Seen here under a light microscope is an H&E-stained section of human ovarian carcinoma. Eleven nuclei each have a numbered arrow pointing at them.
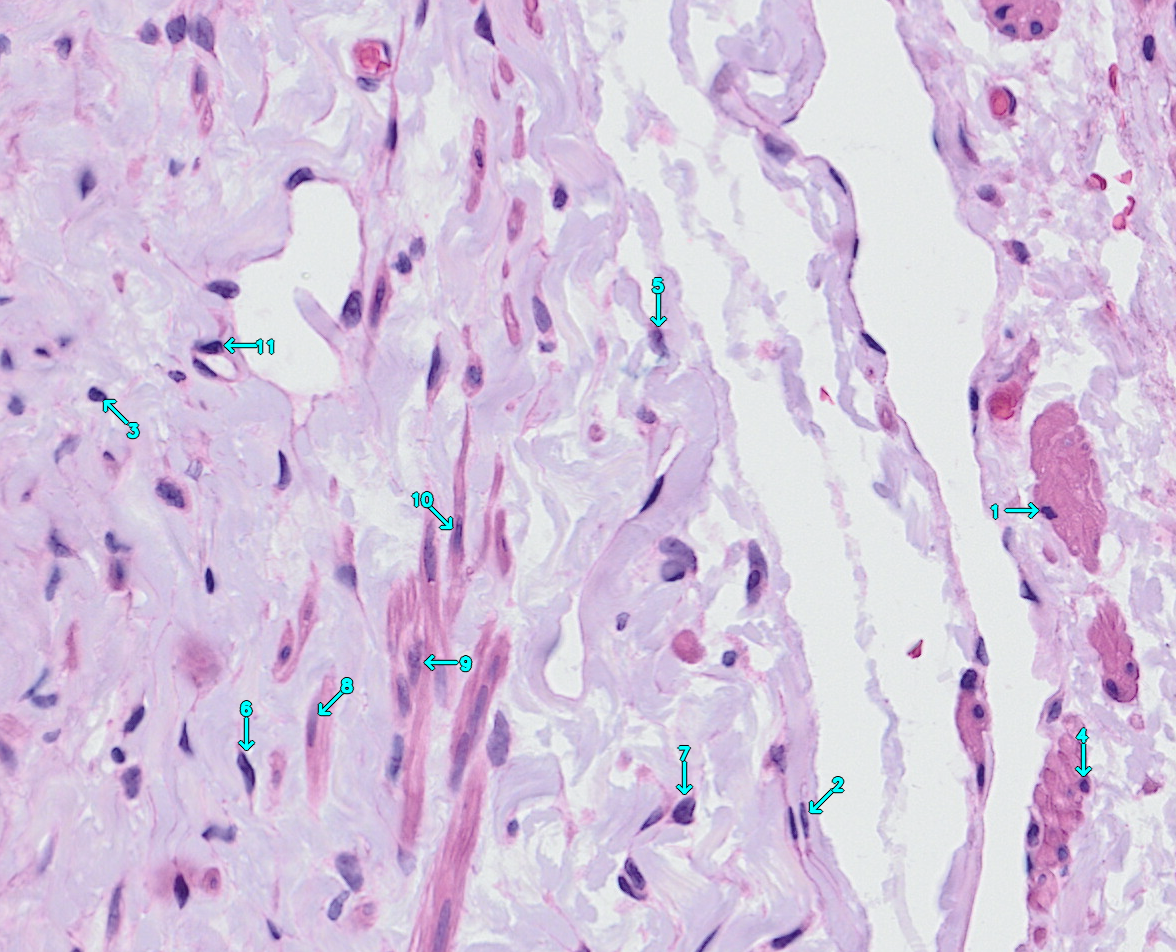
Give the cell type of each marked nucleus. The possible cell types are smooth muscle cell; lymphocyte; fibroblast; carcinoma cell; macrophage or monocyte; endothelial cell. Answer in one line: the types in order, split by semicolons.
smooth muscle cell; fibroblast; lymphocyte; smooth muscle cell; fibroblast; fibroblast; fibroblast; smooth muscle cell; smooth muscle cell; smooth muscle cell; endothelial cell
